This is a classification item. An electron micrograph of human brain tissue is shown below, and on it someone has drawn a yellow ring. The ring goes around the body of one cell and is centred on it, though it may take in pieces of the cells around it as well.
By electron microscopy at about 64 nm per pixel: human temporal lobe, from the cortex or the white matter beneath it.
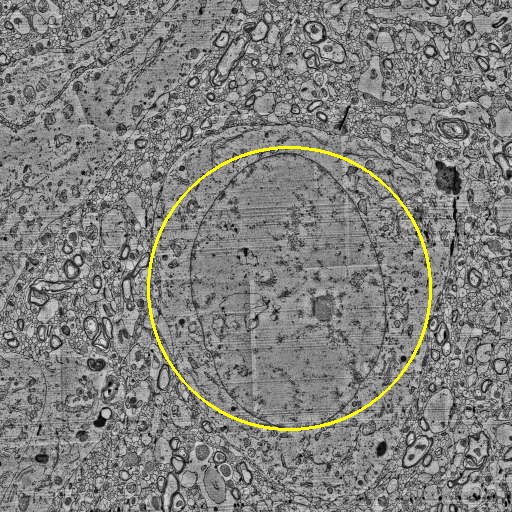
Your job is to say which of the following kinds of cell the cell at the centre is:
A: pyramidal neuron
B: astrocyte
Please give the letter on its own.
A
